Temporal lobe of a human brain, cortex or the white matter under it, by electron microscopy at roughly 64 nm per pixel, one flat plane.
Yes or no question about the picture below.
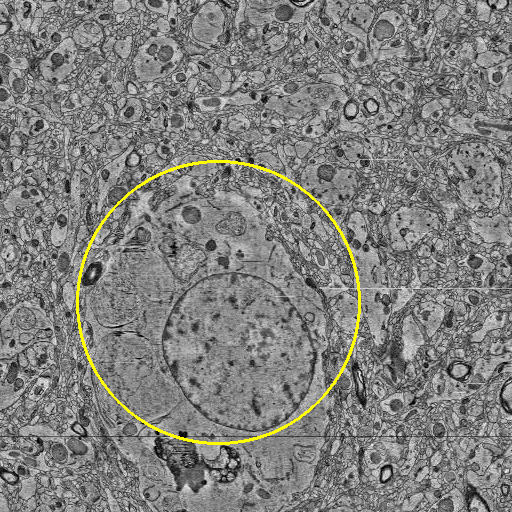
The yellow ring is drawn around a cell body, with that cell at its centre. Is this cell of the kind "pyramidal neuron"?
no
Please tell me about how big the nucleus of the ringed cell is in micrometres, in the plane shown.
Roughly 11 by 9 micrometres is the size of the nucleus in this plane.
